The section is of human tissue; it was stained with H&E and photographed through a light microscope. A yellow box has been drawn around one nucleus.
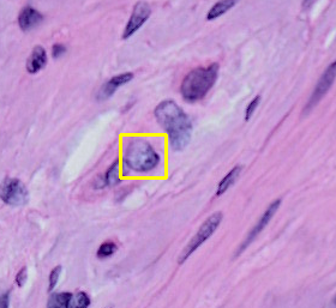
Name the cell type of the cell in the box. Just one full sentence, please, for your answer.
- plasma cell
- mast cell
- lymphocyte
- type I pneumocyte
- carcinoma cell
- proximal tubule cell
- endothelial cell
As for its identity, the cell in the box is an endothelial cell.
